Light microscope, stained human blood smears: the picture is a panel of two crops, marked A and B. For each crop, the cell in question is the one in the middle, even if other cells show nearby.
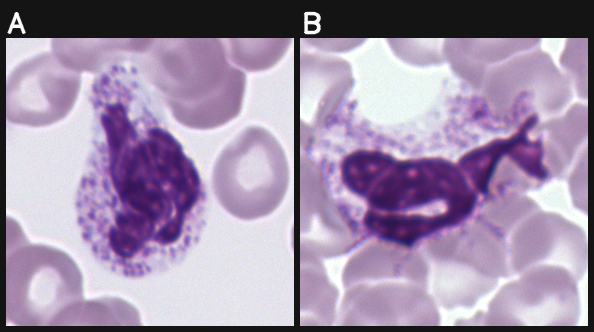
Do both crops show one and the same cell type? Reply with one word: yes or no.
yes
